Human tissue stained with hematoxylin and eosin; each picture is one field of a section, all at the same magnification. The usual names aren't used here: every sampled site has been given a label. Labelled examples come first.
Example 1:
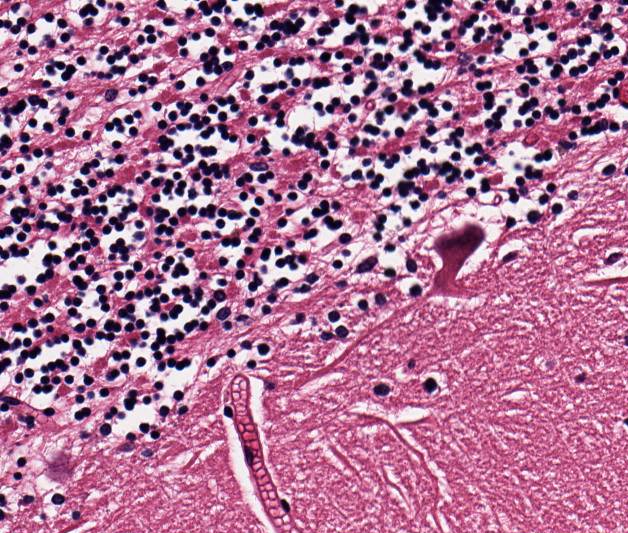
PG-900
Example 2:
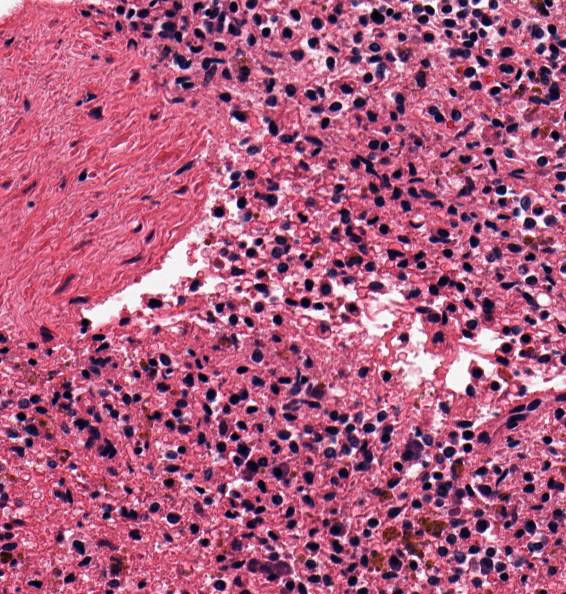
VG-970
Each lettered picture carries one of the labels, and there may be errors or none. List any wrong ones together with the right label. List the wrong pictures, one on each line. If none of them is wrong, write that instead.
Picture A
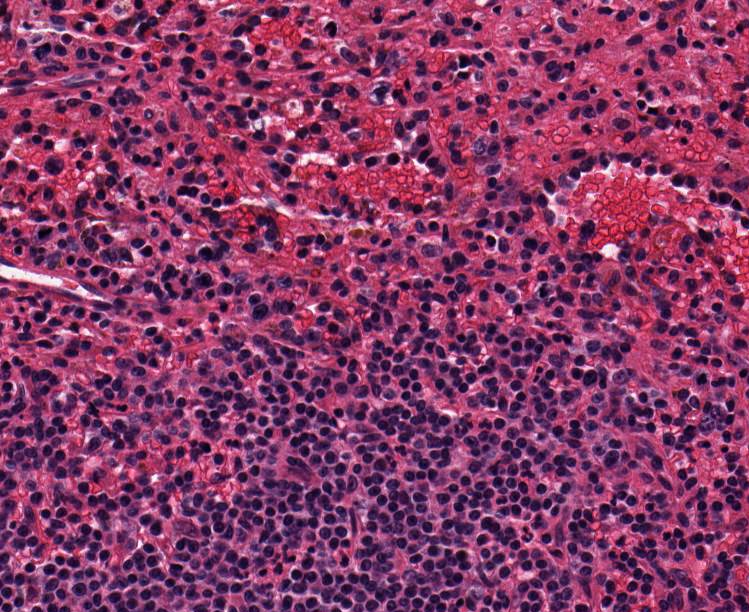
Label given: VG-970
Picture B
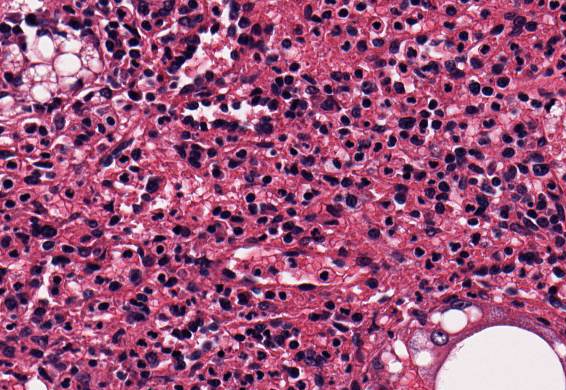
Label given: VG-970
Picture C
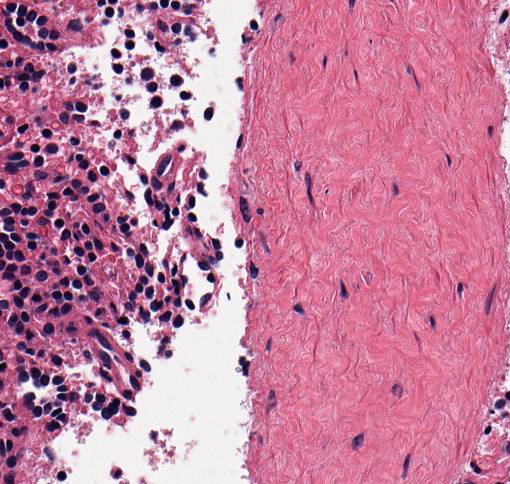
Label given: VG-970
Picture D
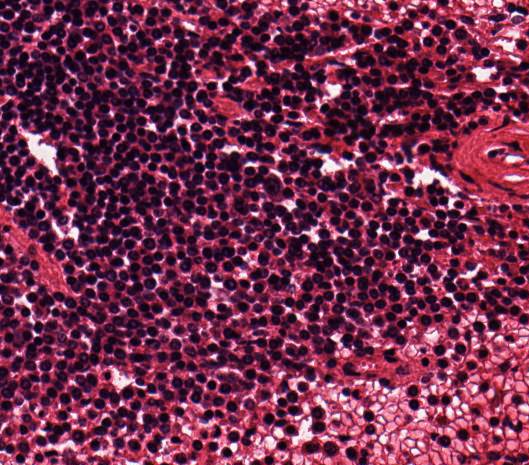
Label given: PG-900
D is labelled PG-900; correct label: VG-970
